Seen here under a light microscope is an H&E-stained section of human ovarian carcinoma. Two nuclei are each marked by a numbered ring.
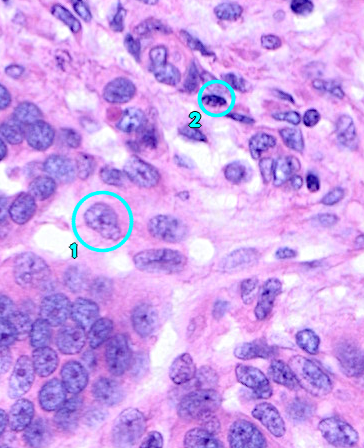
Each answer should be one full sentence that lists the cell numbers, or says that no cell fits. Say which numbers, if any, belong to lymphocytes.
Cell 2 is a lymphocyte, while every other numbered cell is not.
